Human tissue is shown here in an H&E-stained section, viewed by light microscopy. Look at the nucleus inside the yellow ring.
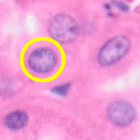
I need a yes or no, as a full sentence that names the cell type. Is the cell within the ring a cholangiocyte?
No, the cell within the ring represents a proximal tubule cell and does not represent a cholangiocyte.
